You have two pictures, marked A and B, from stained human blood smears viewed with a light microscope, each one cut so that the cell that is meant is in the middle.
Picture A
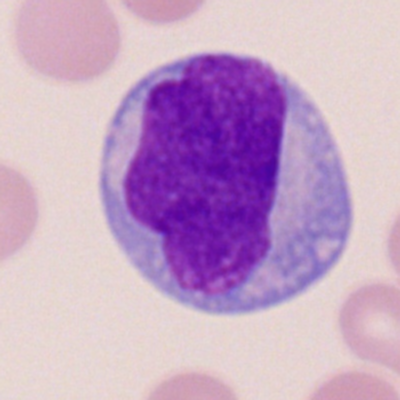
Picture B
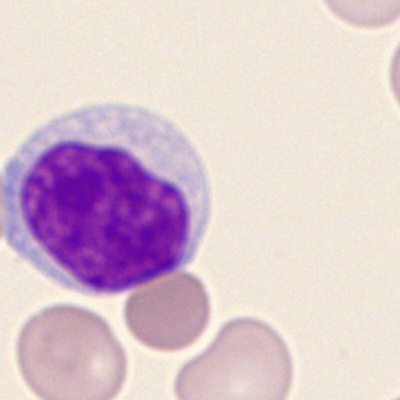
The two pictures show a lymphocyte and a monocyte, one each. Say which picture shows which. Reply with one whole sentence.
Picture B shows a lymphocyte, while picture A shows a monocyte.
